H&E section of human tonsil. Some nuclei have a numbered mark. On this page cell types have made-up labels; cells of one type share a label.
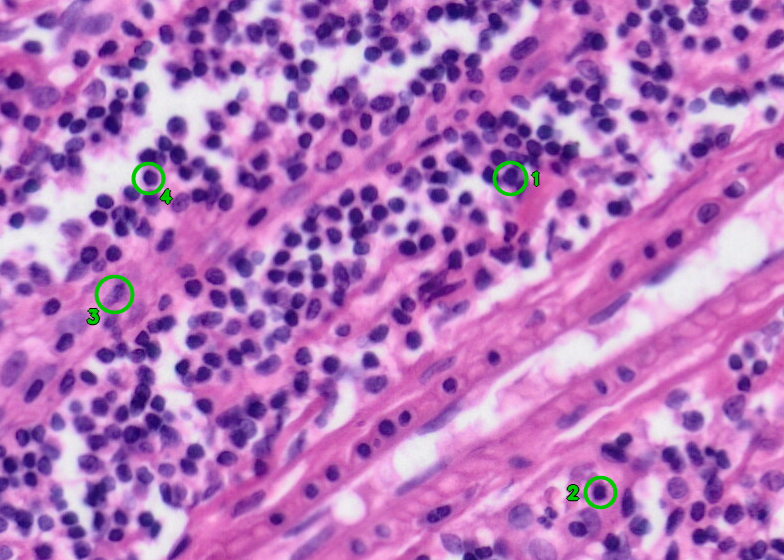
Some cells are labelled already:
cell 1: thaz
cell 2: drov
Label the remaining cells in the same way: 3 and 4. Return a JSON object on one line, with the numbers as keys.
{"3": "drov", "4": "thaz"}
